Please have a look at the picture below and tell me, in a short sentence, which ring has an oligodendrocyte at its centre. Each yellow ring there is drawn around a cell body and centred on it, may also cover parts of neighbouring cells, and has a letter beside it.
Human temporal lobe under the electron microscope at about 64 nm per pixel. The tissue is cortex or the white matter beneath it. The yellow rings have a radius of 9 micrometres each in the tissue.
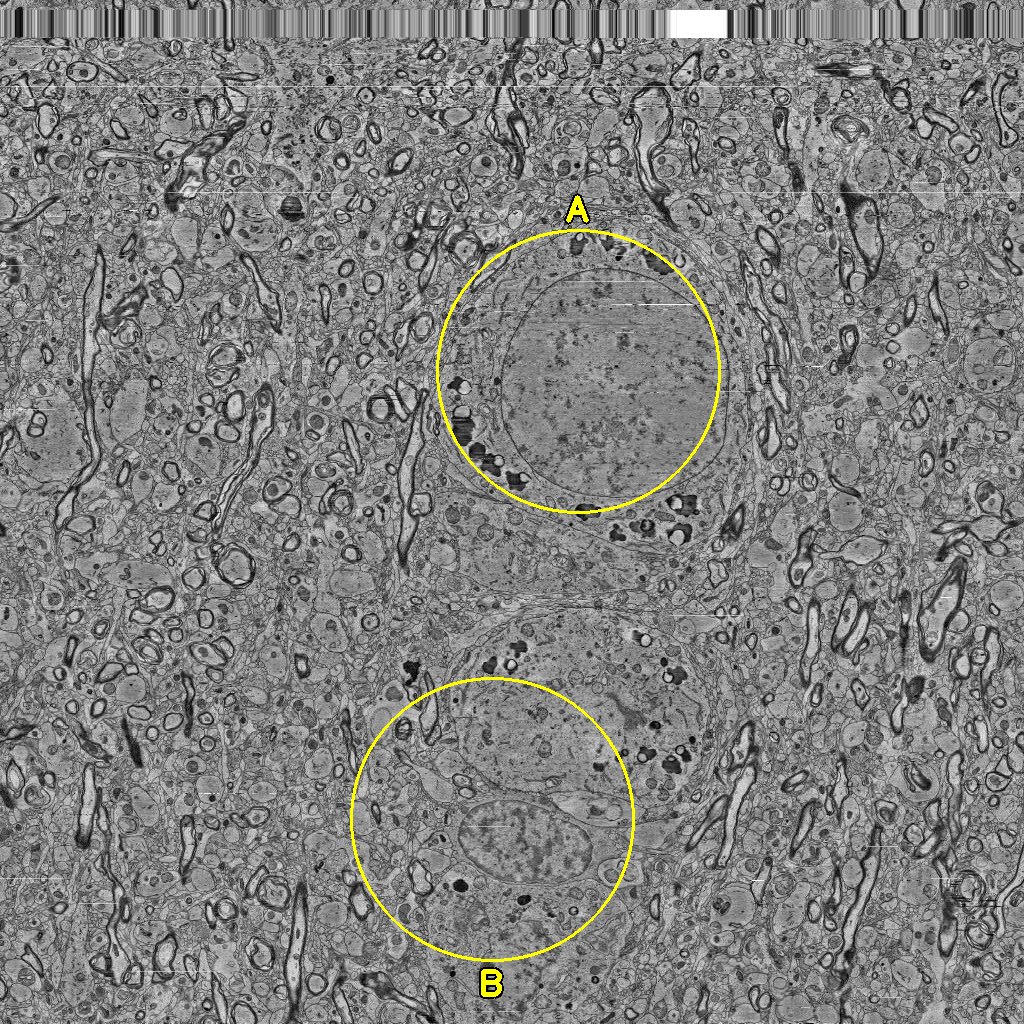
Ring B is centred on it.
